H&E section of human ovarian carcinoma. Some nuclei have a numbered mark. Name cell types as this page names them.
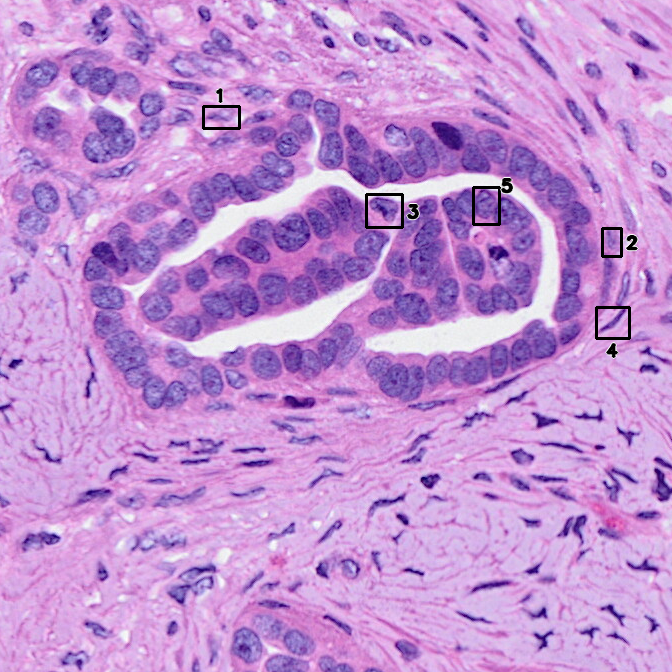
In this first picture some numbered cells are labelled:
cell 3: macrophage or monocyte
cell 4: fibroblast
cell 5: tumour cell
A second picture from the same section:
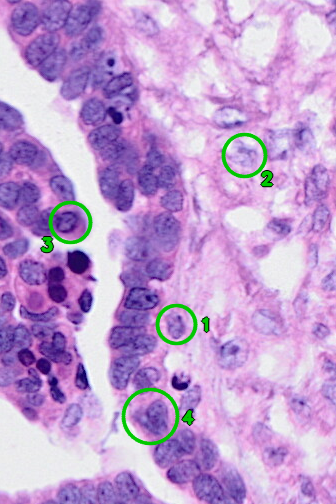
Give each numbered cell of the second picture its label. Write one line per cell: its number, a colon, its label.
1: macrophage or monocyte
2: fibroblast
3: tumour cell
4: tumour cell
